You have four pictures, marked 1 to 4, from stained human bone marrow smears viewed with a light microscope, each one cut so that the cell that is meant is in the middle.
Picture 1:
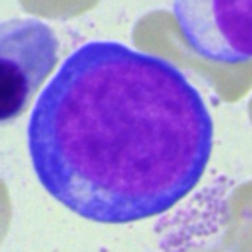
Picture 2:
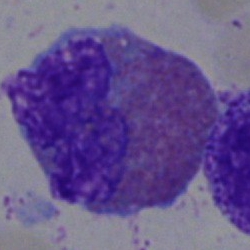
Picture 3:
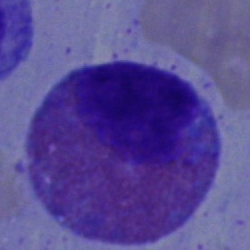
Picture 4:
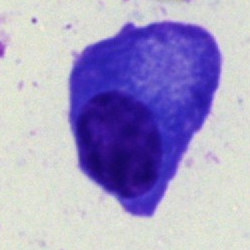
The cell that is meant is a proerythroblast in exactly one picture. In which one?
1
